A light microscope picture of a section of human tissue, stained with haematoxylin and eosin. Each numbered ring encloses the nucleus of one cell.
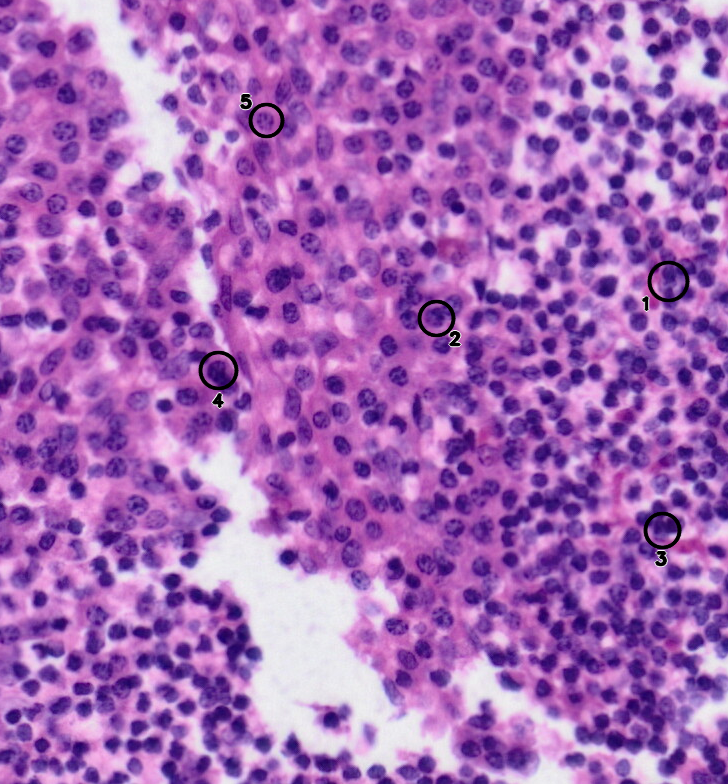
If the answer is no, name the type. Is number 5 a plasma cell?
Yes.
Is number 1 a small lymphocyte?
Yes.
